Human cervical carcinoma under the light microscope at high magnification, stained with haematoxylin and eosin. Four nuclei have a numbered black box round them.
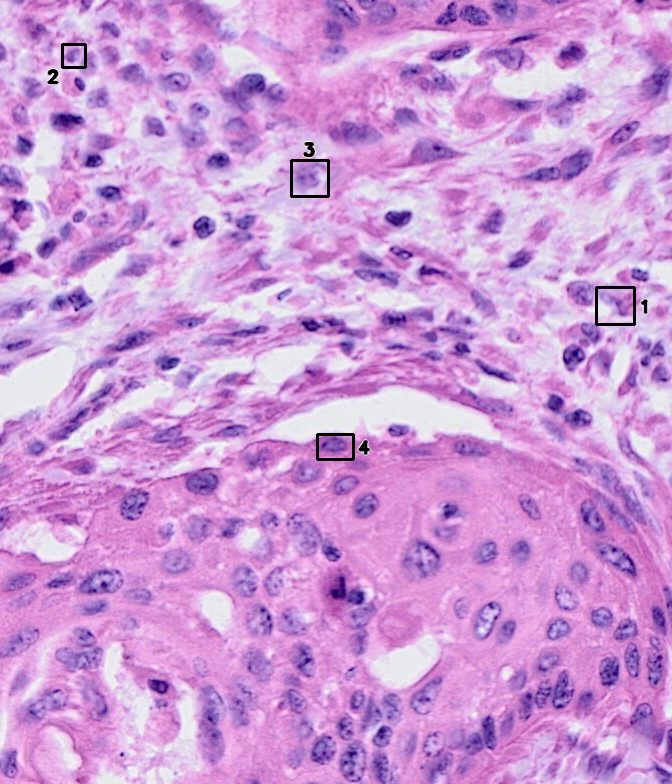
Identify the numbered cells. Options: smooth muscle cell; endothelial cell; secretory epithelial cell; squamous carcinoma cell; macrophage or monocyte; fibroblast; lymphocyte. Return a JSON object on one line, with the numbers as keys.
{"1": "fibroblast", "2": "fibroblast", "3": "fibroblast", "4": "squamous carcinoma cell"}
